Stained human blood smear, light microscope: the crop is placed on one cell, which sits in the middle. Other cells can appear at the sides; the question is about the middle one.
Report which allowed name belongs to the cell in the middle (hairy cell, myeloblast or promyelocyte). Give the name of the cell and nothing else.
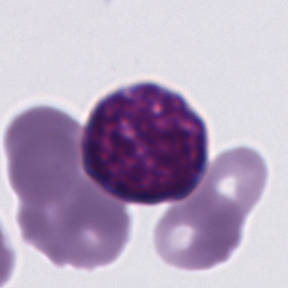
myeloblast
